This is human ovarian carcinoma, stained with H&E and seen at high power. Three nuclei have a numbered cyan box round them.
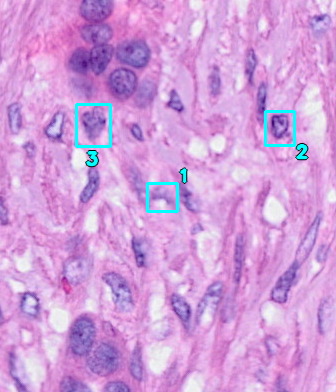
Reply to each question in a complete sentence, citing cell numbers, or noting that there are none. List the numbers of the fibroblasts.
The only cell among those numbered to be a fibroblast is number 1.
